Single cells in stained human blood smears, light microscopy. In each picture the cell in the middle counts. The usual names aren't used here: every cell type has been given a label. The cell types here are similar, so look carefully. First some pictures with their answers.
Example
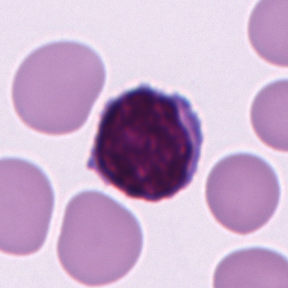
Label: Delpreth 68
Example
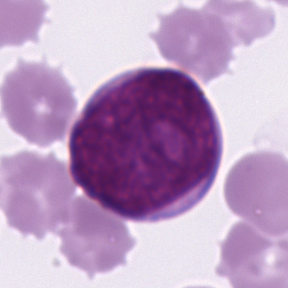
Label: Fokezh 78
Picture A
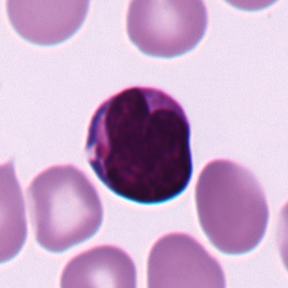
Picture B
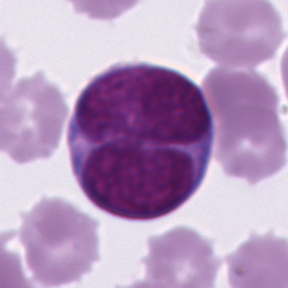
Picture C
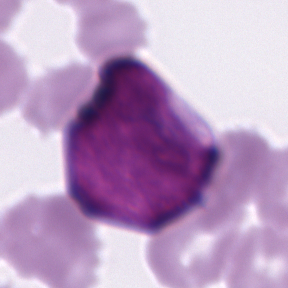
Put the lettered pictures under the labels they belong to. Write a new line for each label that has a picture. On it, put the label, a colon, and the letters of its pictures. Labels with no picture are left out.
Delpreth 68: A
Fokezh 78: B, C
